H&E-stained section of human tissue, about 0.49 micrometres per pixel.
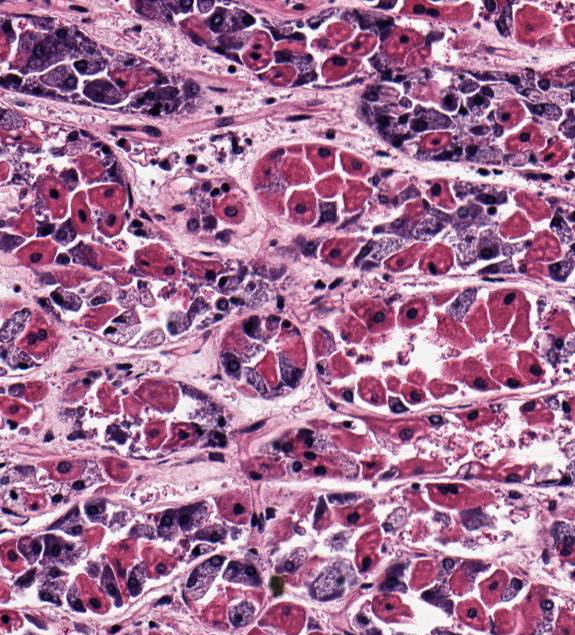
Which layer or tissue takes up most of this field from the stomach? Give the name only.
fundic glands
